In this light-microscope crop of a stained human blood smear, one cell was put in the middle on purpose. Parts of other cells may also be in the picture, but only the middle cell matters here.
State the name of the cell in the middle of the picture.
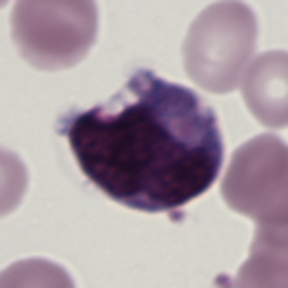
monocyte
